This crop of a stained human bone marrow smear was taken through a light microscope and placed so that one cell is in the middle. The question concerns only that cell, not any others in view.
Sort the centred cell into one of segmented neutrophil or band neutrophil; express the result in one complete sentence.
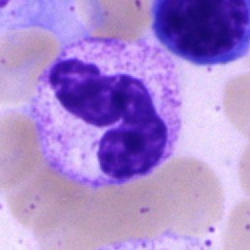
Looking at the middle of the crop, the cell there is a segmented neutrophil.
